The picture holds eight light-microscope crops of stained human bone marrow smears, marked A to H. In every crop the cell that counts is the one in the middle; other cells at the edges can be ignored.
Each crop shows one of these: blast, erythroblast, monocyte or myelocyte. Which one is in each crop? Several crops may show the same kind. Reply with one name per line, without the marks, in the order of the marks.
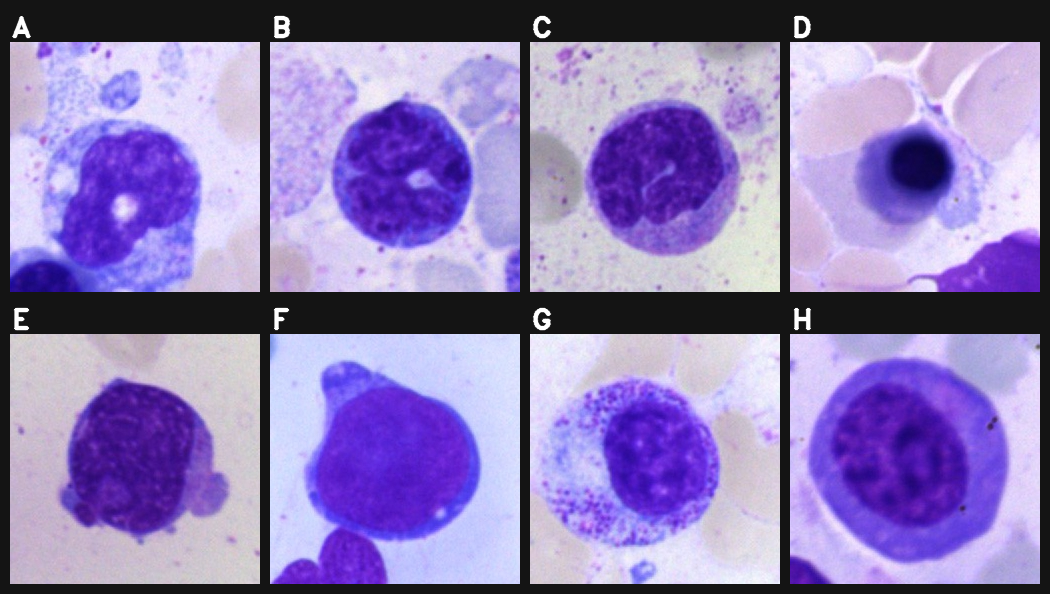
monocyte
monocyte
monocyte
erythroblast
blast
blast
myelocyte
blast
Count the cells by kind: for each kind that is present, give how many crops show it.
monocyte: 3
blast: 3
erythroblast: 1
myelocyte: 1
